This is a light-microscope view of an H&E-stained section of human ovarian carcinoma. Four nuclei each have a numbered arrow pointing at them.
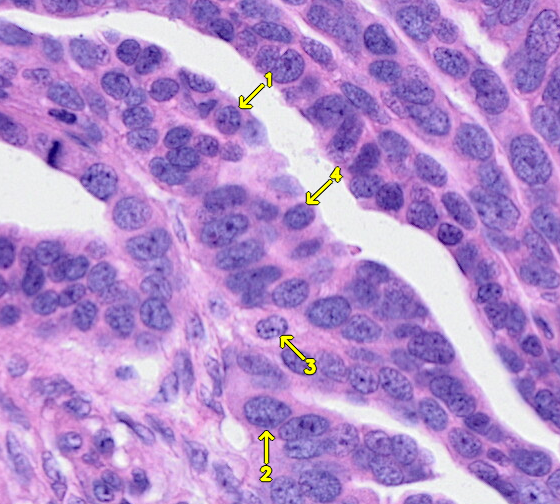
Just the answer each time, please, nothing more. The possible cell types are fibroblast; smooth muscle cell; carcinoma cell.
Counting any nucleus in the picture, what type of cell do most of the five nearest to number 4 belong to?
carcinoma cell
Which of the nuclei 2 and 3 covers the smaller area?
3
